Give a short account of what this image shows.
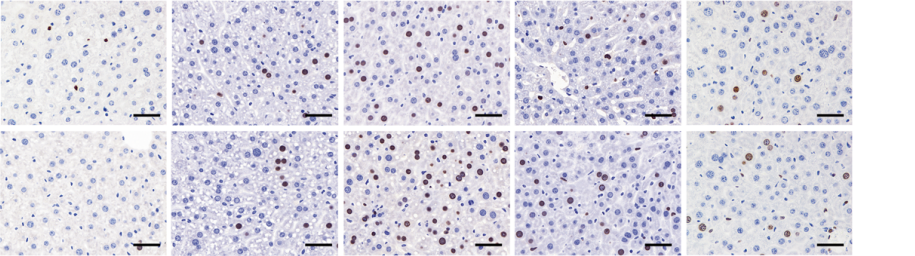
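These are sections of liver made up of hepatocytes, large polygonal cells arranged in plates with round, centrally placed nuclei. The nuclei are mostly counterstained blue, and a share of them, varying from image to image, are stained dark brown. Several hepatocytes have two nuclei. The cytoplasm is pale and abundant, and thin sinusoidal spaces run between the cell plates, with occasional vessel lumens. The brown nuclei are scattered across the parenchyma without a clear zonal grouping.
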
